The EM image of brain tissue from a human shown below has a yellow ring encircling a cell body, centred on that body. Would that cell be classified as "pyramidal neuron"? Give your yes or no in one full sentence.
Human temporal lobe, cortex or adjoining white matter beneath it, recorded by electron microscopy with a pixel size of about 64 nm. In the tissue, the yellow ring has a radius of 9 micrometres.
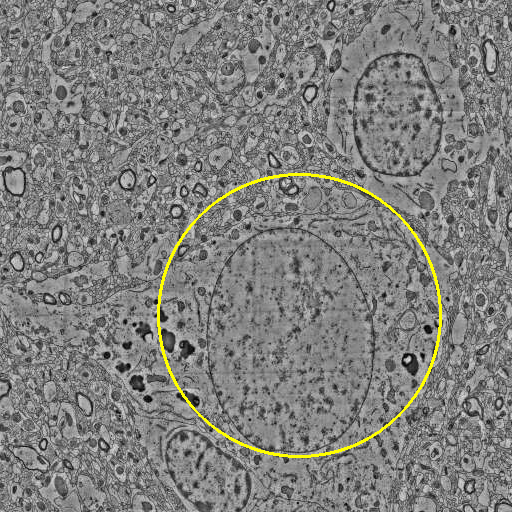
Yes, the cell at the centre of the ring in the picture falls in that class.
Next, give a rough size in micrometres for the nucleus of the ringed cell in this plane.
In this plane the nucleus measures roughly 14 by 11 micrometers.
